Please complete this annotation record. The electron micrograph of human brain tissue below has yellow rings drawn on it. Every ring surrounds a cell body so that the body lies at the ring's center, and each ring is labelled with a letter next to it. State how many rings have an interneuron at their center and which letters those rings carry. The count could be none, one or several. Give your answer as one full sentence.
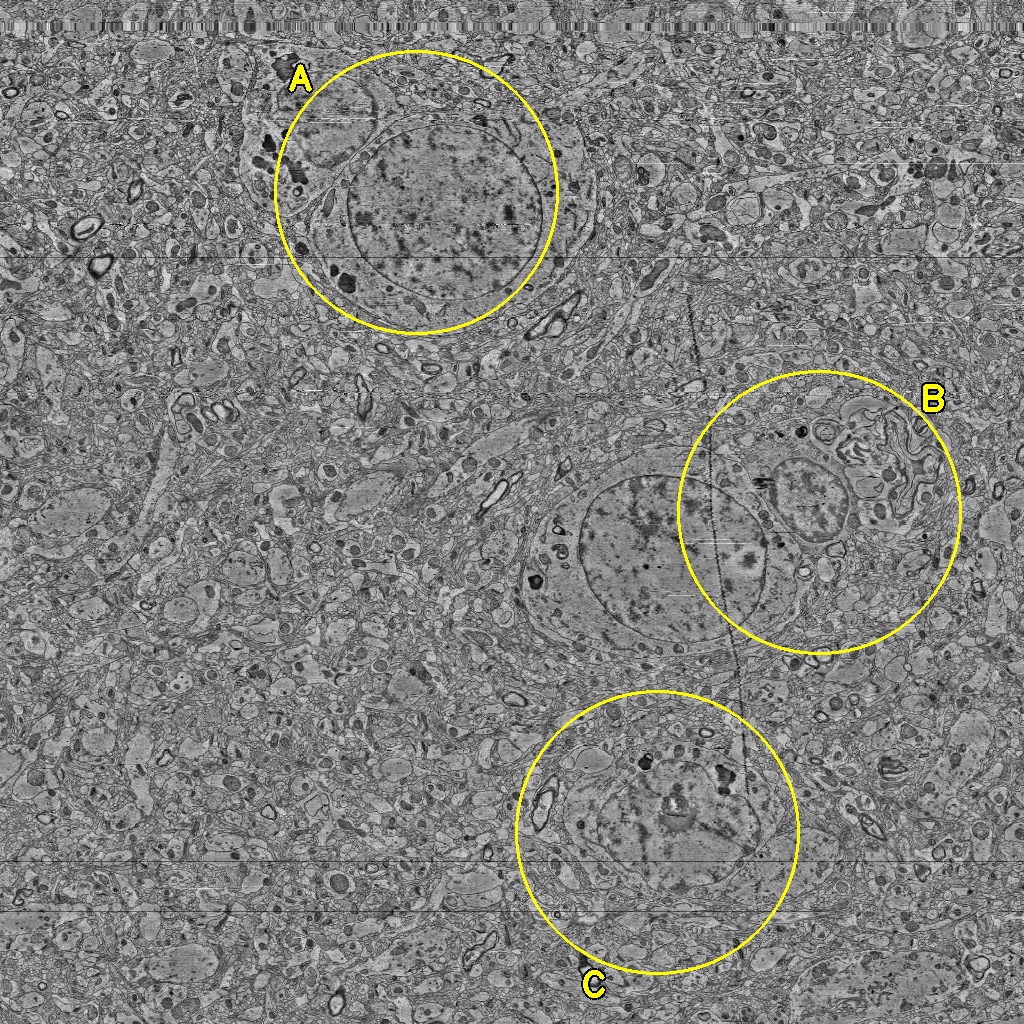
Only one ring is centred on an interneuron, and the letter C names that ring.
